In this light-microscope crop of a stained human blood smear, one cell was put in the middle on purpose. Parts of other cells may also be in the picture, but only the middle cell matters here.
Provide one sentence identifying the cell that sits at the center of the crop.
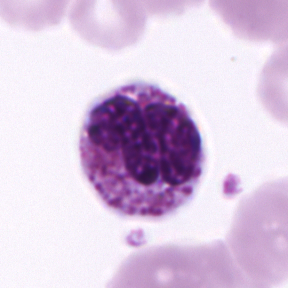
This crop is built around an eosinophil at its centre.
